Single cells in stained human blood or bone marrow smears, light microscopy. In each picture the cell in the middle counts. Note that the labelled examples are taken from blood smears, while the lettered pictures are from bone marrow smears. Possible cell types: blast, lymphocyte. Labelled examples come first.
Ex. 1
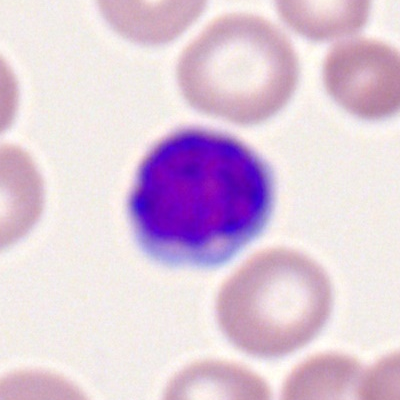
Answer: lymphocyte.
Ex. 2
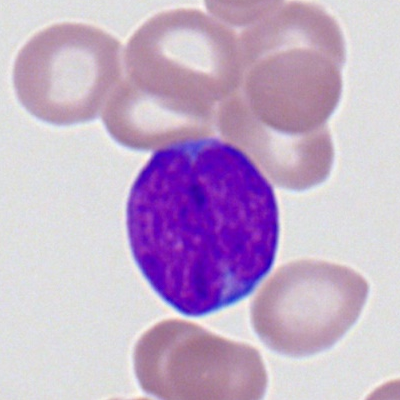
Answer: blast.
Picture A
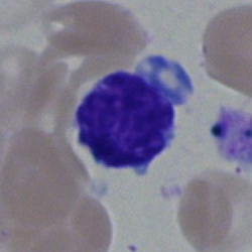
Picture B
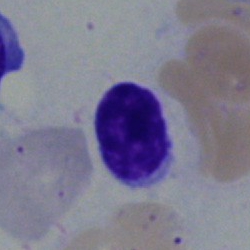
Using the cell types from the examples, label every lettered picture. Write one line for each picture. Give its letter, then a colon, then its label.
A: lymphocyte.
B: lymphocyte.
